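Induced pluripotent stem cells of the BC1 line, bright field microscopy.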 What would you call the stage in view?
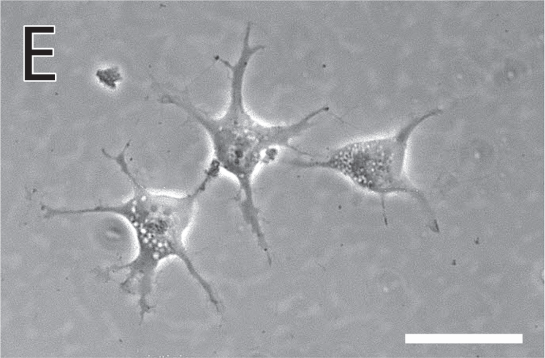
oligodendrocyte progenitor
